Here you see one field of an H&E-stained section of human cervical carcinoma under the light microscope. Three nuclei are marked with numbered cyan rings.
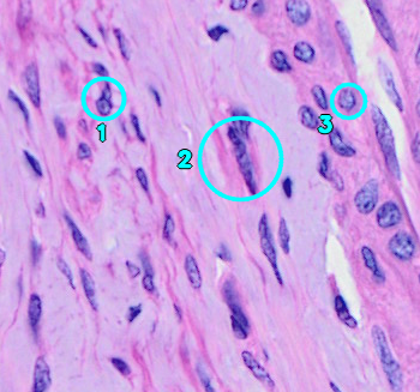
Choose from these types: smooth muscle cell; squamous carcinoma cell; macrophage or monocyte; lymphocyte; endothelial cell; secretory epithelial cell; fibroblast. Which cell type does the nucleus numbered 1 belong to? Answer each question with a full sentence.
As for number 1, that cell is a smooth muscle cell.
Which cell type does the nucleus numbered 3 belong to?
The marked cell bearing number 3 is a smooth muscle cell.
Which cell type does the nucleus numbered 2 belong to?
The cell pointed out by number 2 is an endothelial cell.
